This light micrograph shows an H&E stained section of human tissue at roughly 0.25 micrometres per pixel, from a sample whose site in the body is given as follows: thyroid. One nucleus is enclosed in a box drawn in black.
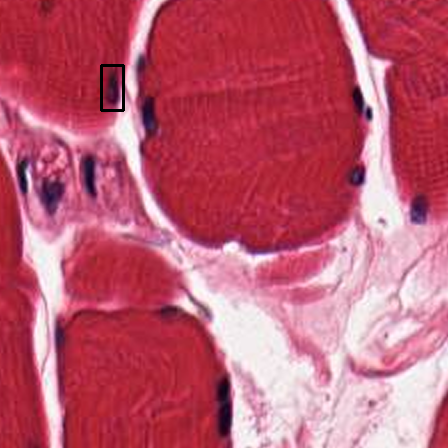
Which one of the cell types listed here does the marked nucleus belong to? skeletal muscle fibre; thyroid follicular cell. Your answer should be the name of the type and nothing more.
skeletal muscle fibre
